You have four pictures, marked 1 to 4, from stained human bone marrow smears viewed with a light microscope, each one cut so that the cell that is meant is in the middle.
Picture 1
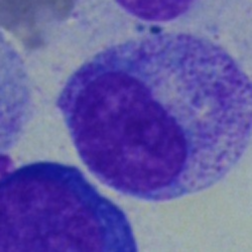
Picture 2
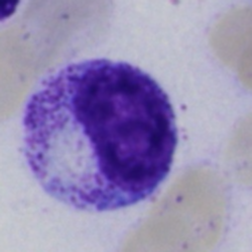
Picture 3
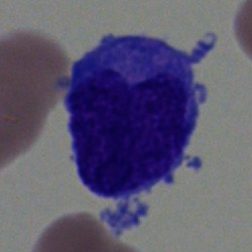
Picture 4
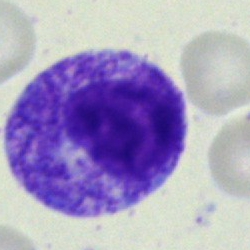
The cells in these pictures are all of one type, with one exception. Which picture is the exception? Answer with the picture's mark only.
3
